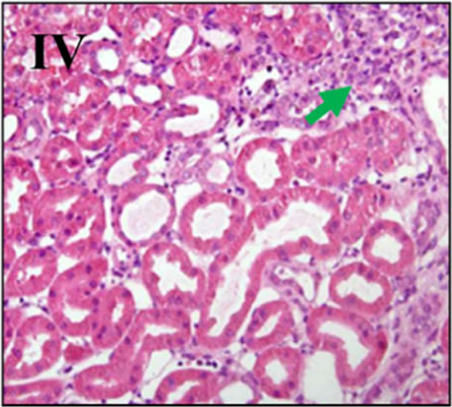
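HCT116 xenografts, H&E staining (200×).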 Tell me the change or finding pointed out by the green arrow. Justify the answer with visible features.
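Lymphocyte infiltrations. The arrow points to a small cluster of closely packed dark round nuclei between the tubular structures.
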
